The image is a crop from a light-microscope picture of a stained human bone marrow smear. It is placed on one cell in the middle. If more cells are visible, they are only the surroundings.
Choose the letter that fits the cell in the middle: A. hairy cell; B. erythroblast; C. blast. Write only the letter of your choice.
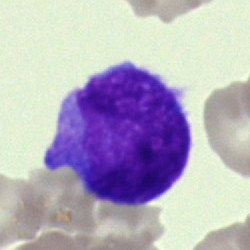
C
